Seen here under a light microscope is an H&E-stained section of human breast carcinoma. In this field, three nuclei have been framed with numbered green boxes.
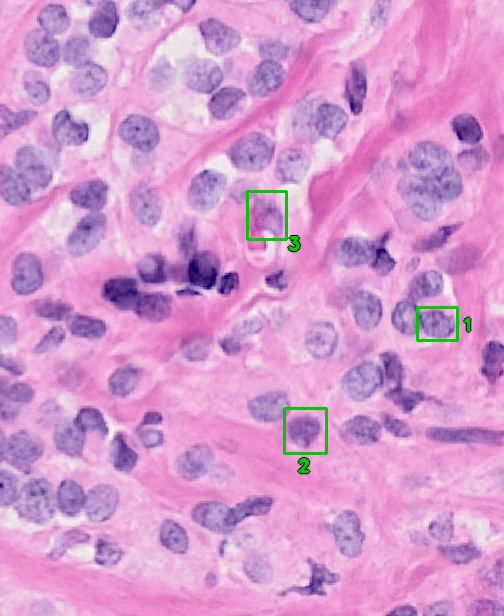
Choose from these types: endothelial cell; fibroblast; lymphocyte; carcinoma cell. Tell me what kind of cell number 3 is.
endothelial cell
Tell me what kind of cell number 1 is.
carcinoma cell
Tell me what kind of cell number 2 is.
carcinoma cell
